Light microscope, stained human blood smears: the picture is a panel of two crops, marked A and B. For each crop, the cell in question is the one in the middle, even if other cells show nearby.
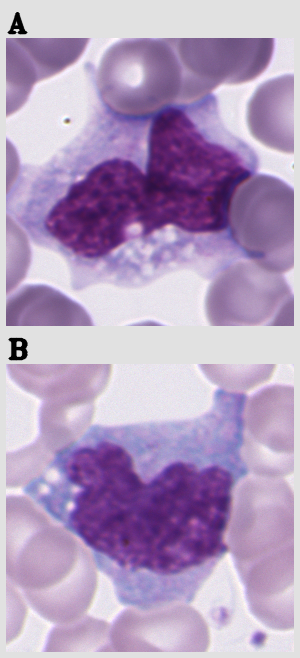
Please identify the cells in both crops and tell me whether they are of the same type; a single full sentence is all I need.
Yes, both crops are centred on monocytes.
